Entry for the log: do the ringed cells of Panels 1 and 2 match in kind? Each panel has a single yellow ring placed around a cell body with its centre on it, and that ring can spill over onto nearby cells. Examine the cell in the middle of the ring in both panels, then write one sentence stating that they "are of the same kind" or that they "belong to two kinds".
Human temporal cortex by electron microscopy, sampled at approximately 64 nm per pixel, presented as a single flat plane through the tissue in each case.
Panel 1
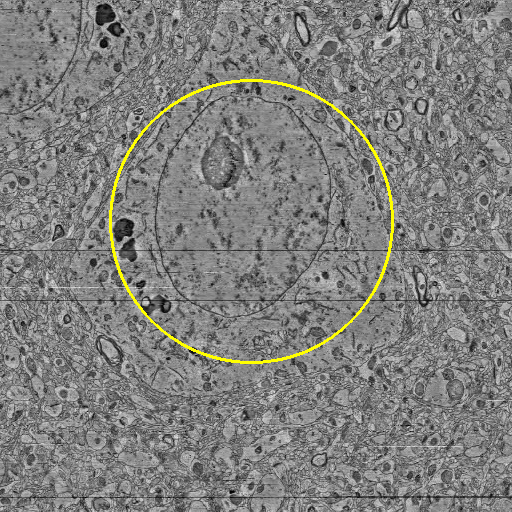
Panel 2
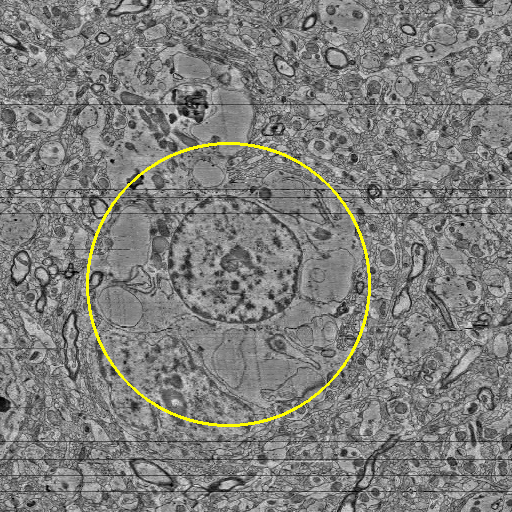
The centre cell of Panel 1's ring and that of Panel 2's ring belong to two kinds.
